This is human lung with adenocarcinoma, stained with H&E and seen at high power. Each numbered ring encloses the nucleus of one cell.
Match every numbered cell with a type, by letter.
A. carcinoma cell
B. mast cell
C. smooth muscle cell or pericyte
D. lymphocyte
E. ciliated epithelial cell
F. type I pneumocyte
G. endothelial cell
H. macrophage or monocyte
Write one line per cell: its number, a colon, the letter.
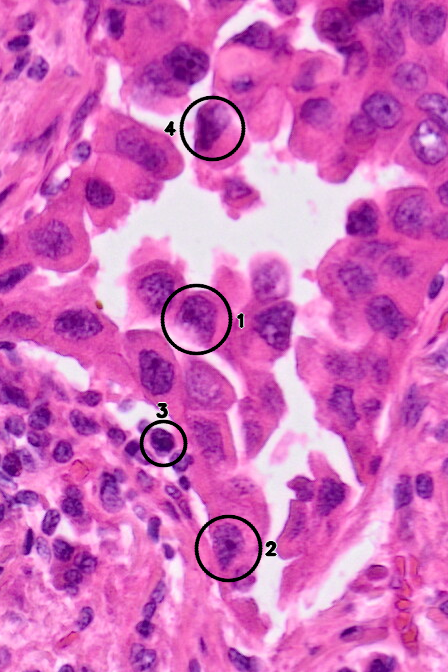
1: A
2: A
3: D
4: A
